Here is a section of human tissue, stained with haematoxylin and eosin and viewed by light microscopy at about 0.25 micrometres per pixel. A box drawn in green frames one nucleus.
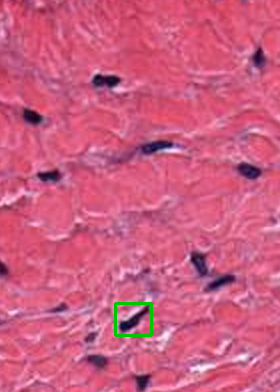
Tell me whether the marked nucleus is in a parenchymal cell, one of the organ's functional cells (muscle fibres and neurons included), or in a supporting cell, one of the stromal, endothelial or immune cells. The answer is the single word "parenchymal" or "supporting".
supporting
